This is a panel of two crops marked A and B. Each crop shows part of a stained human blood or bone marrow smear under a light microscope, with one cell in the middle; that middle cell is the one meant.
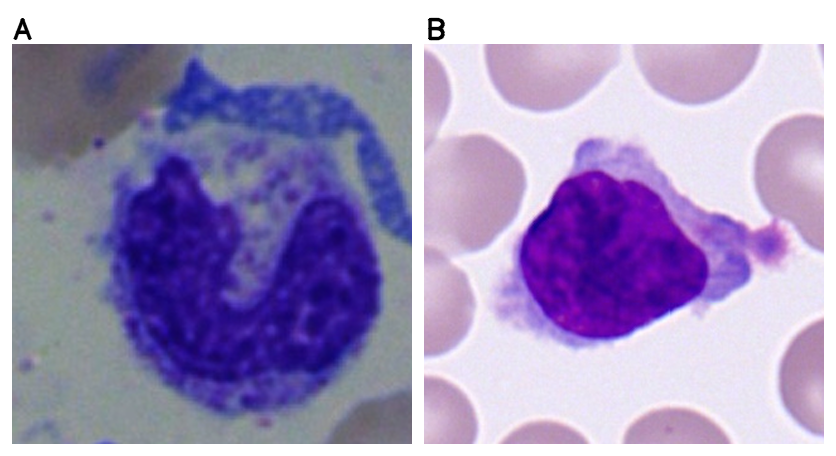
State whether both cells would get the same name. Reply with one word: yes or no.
no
